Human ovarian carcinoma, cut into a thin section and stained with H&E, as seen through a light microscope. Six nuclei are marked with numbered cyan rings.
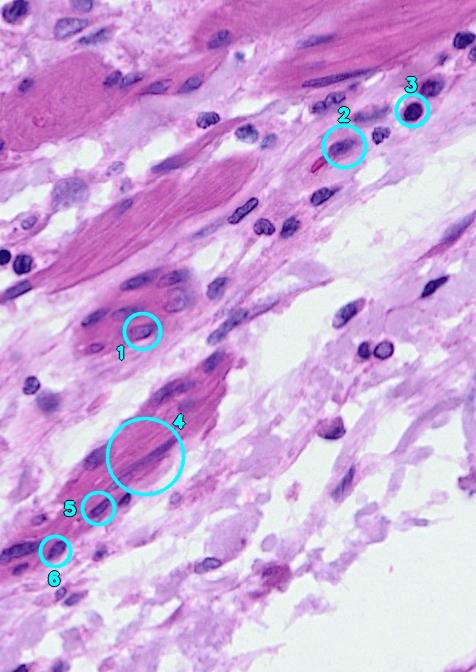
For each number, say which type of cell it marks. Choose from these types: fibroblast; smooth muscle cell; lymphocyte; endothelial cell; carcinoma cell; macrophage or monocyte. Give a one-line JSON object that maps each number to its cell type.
{"1": "smooth muscle cell", "2": "endothelial cell", "3": "lymphocyte", "4": "smooth muscle cell", "5": "smooth muscle cell", "6": "smooth muscle cell"}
